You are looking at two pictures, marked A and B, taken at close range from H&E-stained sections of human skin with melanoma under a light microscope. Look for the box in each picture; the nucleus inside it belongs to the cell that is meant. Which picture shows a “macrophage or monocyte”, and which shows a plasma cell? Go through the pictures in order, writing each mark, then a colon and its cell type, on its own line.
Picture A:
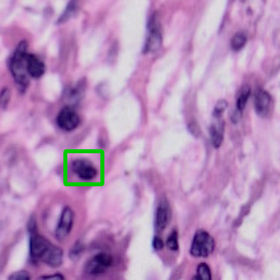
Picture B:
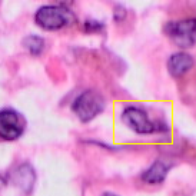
A: plasma cell
B: macrophage or monocyte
